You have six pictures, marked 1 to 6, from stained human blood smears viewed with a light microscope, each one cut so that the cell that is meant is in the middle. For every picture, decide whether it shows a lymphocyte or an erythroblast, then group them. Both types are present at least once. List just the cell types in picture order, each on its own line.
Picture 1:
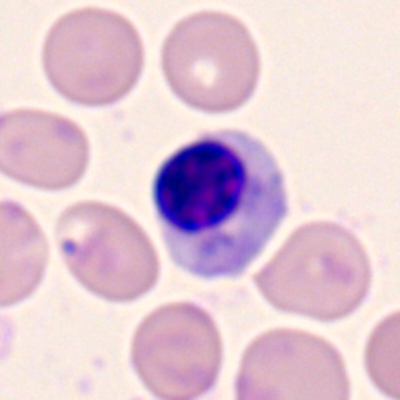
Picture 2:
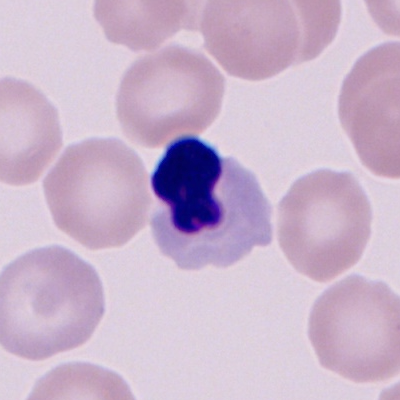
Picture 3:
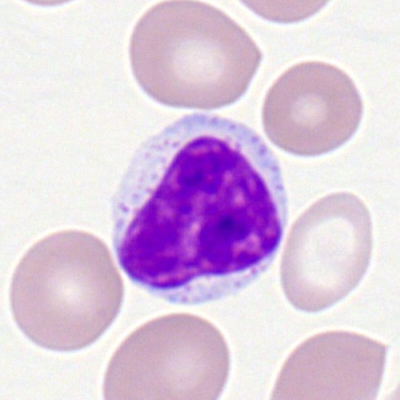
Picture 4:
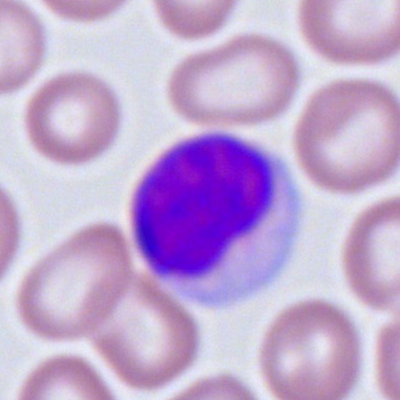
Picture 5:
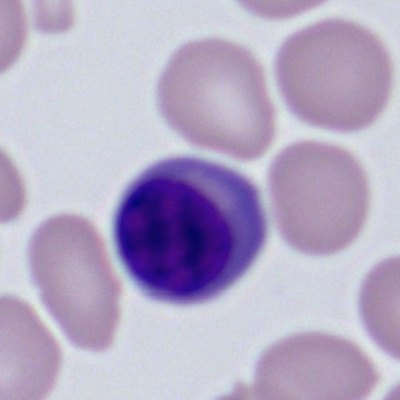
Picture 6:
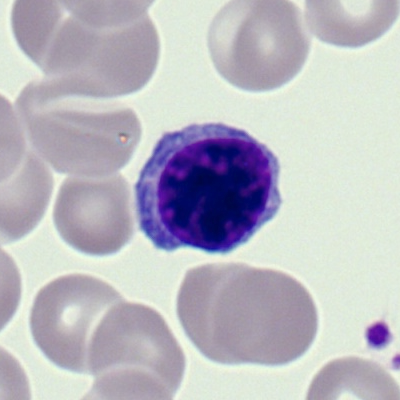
erythroblast
erythroblast
lymphocyte
lymphocyte
erythroblast
lymphocyte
